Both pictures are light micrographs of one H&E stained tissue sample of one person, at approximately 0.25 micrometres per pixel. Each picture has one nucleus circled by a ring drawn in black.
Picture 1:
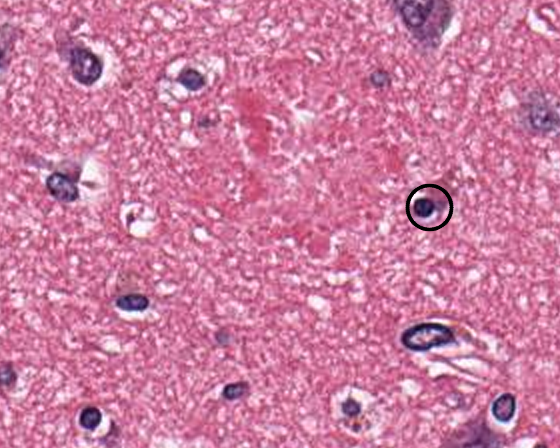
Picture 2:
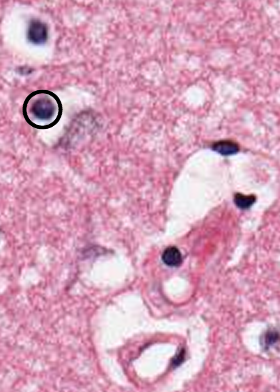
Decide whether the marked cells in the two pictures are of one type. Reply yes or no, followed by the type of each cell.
Yes, both are oligodendrocytes.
